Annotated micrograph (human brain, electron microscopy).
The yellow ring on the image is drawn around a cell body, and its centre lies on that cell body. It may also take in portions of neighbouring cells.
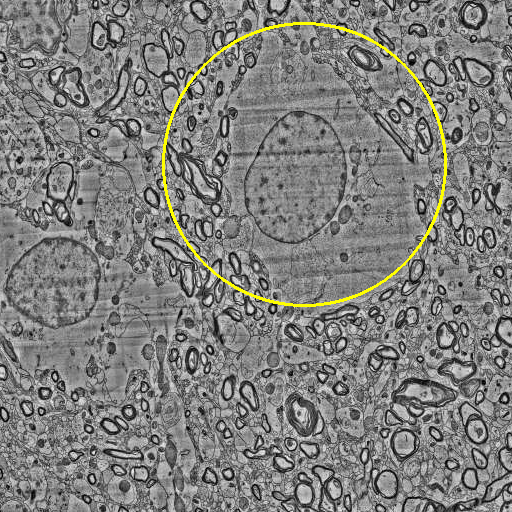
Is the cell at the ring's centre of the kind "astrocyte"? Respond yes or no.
Yes, it is of the named kind.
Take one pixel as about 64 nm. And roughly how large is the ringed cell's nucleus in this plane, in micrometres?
Approximately 8 by 6 micrometers in this plane.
